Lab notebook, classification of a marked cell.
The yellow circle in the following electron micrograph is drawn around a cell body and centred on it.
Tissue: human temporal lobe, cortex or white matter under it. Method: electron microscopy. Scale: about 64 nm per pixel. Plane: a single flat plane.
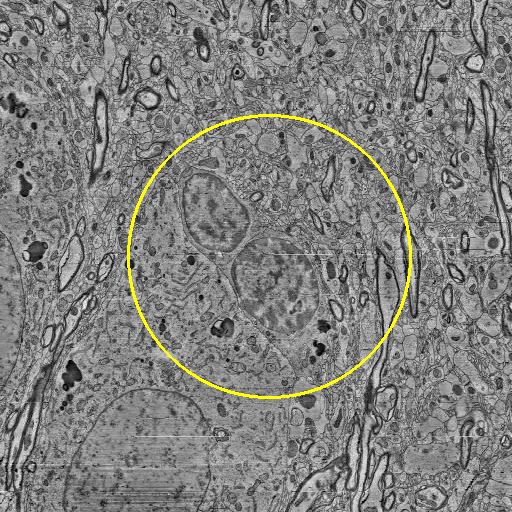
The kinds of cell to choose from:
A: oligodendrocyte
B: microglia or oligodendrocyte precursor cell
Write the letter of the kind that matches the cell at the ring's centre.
A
